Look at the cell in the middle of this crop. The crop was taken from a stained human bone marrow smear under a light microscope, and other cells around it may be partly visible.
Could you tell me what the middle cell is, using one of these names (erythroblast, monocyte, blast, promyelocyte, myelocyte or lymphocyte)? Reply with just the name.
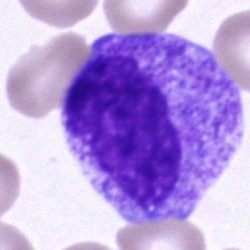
promyelocyte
